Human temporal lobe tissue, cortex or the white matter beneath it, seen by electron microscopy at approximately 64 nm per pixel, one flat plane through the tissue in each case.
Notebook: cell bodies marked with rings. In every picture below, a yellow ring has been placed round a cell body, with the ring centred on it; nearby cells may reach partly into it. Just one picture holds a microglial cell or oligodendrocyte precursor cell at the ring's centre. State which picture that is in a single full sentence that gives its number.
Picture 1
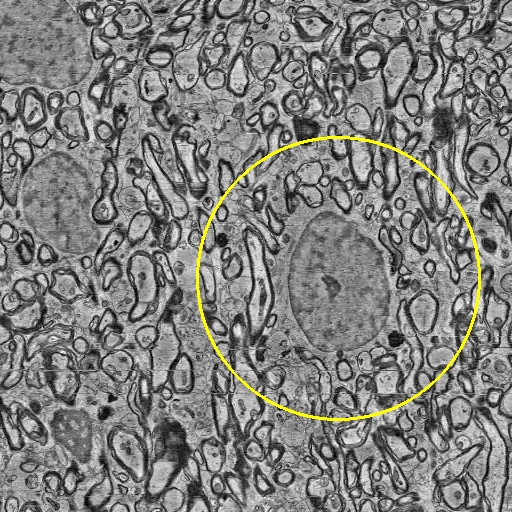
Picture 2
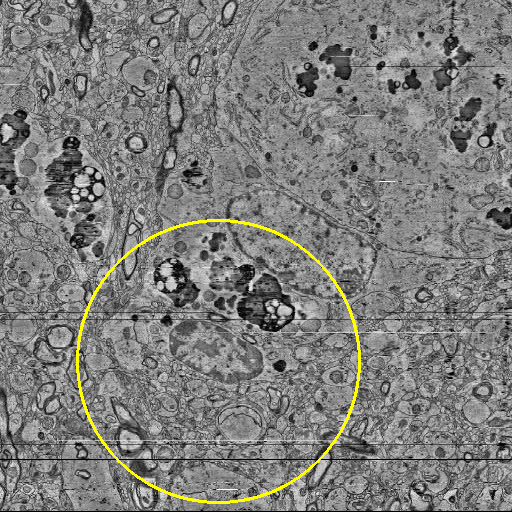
It is picture 2 whose ring has the wanted cell right at its centre.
